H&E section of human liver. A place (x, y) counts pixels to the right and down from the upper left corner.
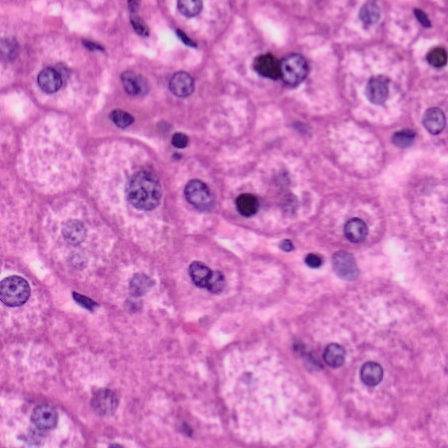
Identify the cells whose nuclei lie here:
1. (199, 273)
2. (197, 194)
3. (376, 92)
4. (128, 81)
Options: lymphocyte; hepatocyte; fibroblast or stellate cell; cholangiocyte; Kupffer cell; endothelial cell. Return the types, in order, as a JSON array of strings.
["hepatocyte", "hepatocyte", "hepatocyte", "Kupffer cell"]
